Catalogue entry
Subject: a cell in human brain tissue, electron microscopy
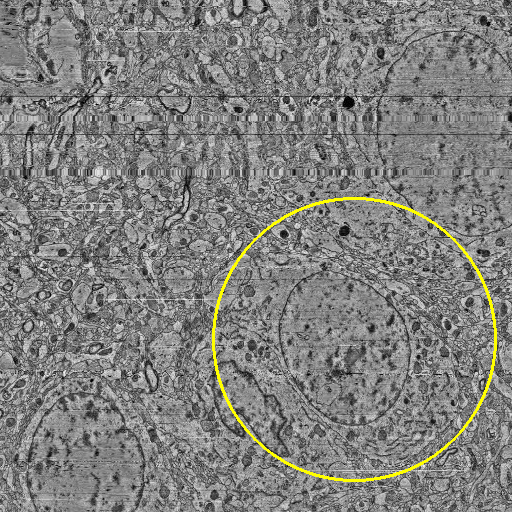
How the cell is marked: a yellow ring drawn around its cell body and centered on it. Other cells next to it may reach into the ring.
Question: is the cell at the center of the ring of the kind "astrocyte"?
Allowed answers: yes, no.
no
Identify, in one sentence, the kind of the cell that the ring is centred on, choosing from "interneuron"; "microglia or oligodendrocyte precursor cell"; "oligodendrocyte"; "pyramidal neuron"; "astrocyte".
Instead, the ring surrounds a pyramidal neuron in this picture.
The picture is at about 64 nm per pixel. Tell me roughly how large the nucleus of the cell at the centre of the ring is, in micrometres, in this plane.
The ringed cell's nucleus measures approximately 10 by 8 micrometres in this plane.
